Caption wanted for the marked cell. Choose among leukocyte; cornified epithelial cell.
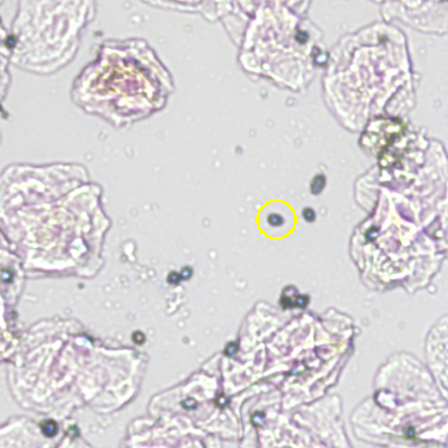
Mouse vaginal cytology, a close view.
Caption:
Ringed in yellow is a leukocyte.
